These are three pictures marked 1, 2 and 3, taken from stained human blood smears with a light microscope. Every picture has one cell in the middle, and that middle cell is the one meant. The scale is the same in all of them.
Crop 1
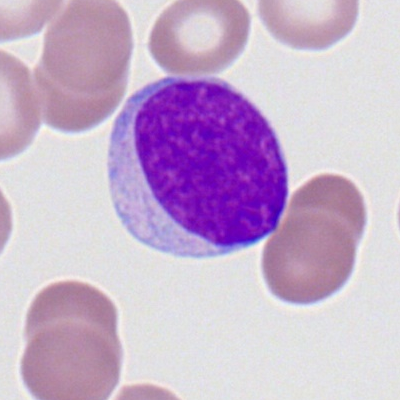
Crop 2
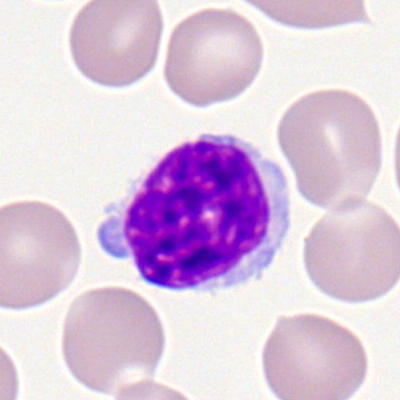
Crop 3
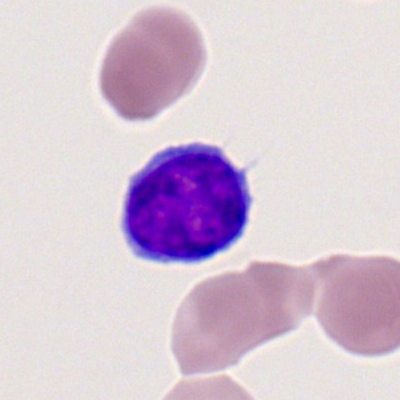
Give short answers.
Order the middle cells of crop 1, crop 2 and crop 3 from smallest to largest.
3, 2, 1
